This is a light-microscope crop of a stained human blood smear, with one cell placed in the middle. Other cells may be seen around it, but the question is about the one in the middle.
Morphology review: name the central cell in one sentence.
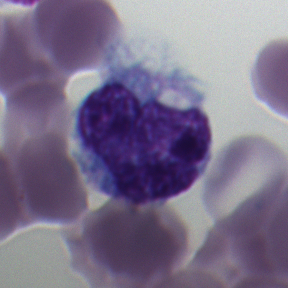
The central cell in this smear crop is a monocyte.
